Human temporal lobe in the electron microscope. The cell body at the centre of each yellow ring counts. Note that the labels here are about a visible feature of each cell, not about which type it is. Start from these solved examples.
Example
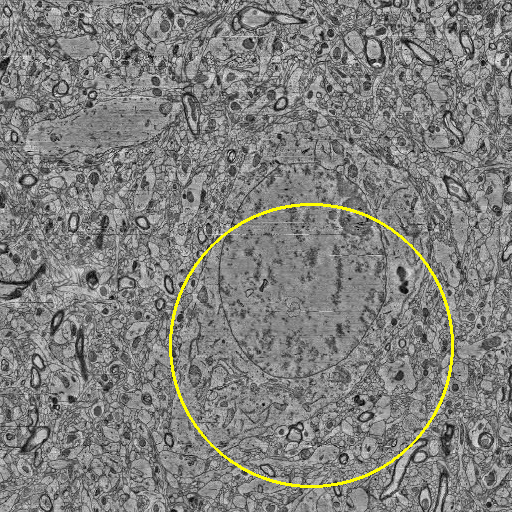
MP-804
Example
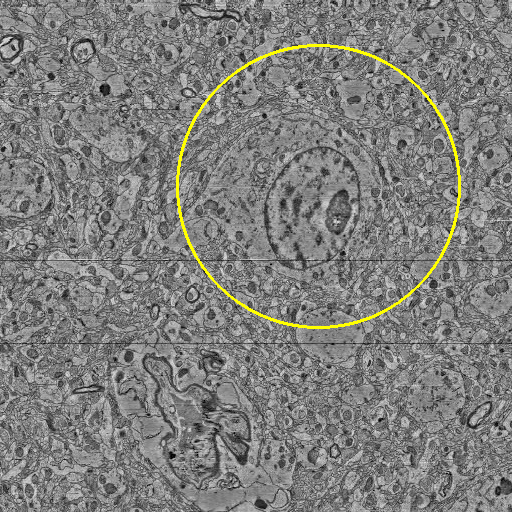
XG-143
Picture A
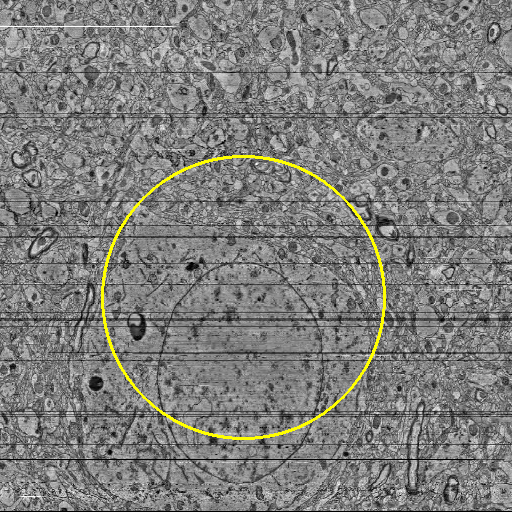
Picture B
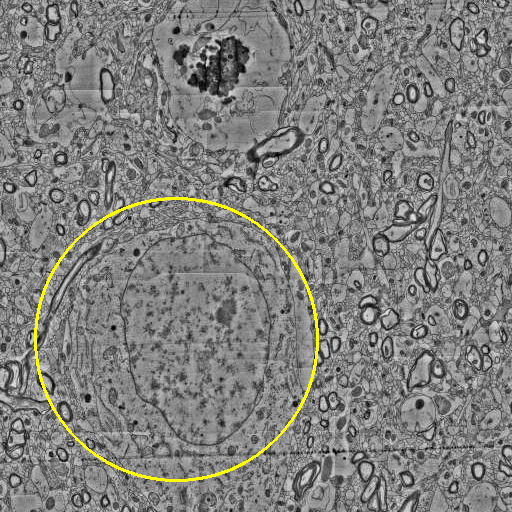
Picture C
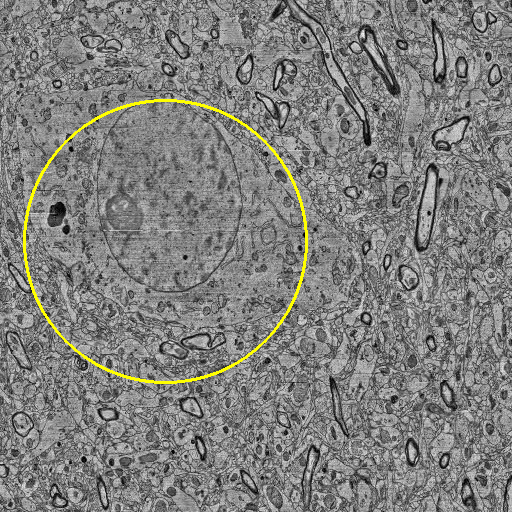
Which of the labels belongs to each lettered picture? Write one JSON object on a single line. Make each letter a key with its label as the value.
{"A": "MP-804", "B": "XG-143", "C": "XG-143"}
